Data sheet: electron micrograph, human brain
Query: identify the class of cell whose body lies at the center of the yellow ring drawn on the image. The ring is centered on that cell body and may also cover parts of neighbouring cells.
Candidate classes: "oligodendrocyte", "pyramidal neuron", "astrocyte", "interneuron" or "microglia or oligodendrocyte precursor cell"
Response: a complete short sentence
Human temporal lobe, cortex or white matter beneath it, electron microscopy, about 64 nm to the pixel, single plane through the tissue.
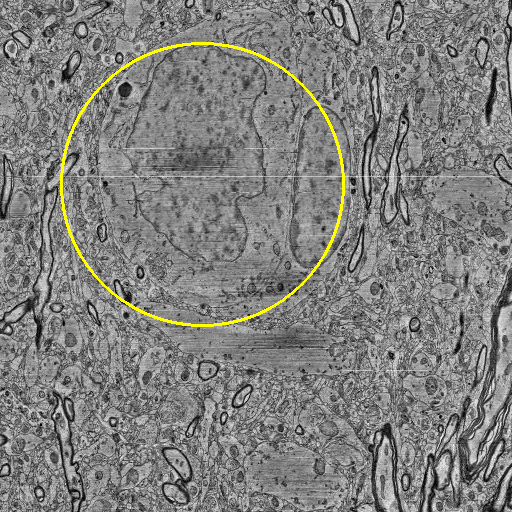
At the center of the ring lies an interneuron.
